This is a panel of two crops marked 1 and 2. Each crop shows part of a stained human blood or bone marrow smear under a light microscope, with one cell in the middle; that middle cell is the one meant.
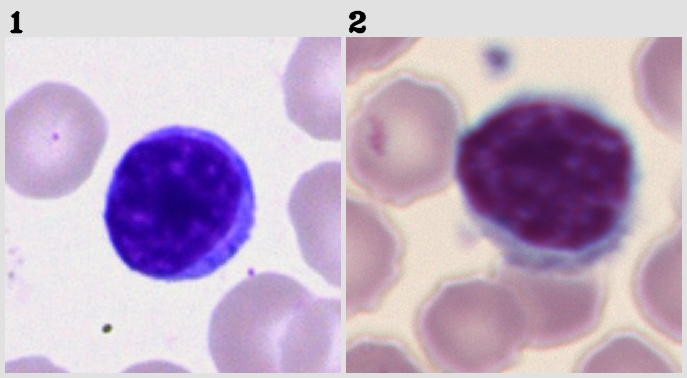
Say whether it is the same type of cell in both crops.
yes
